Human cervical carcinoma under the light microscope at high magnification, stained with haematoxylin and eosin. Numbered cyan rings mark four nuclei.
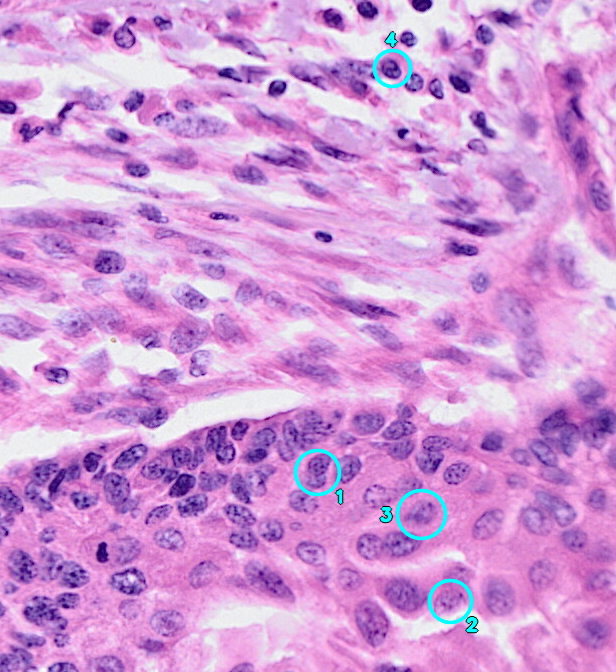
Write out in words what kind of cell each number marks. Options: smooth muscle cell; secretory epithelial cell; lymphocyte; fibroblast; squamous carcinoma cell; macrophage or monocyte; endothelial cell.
Cell 1 is a squamous carcinoma cell, cell 2 is a squamous carcinoma cell, cell 3 is a squamous carcinoma cell and cell 4 is a lymphocyte.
